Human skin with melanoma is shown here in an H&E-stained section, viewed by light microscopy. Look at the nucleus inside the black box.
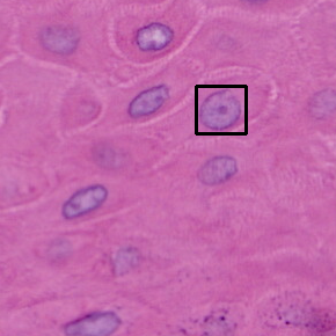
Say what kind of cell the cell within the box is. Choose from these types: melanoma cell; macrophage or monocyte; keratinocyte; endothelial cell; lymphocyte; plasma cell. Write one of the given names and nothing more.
keratinocyte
